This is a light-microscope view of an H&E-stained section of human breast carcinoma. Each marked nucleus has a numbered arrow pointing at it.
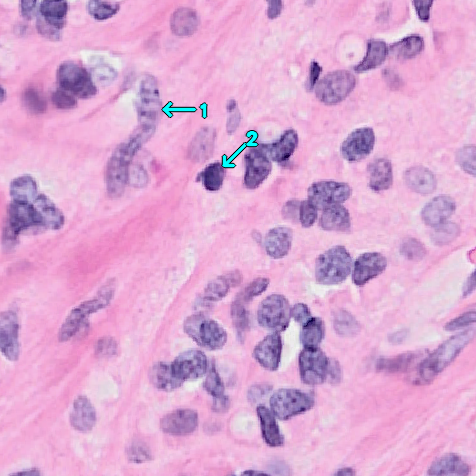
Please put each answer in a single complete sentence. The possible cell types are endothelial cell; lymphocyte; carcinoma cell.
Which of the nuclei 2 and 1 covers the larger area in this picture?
Number 1 is larger; its area is about 1.5 times that of number 2.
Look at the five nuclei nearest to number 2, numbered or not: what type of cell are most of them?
Most of the five nuclei nearest to number 2 are those of carcinoma cells.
